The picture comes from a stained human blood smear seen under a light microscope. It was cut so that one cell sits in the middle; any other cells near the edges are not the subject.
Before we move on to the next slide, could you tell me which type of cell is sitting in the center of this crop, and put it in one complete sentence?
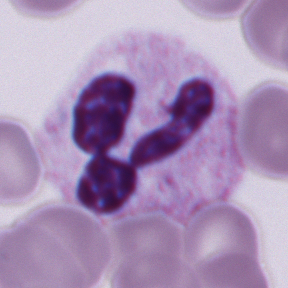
The cell centred in this crop is categorized as a segmented neutrophil.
